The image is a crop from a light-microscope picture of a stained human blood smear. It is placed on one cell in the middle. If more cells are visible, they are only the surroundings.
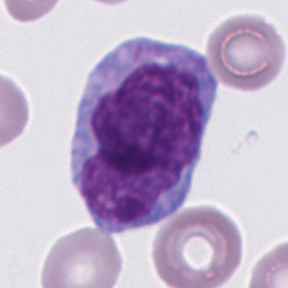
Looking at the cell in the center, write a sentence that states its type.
This crop has an atypical promyelocyte at its centre.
